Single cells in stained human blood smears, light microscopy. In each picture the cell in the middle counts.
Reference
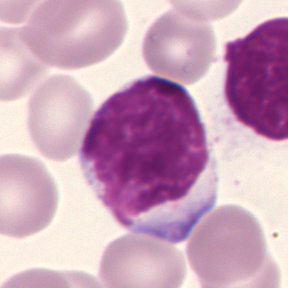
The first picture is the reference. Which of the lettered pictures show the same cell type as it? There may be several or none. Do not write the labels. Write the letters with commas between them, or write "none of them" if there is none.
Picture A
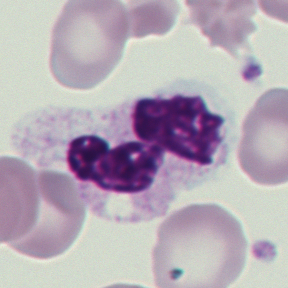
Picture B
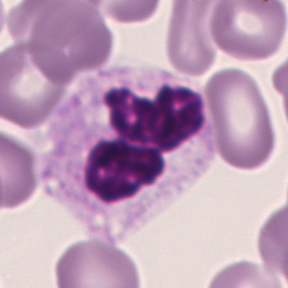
none of them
